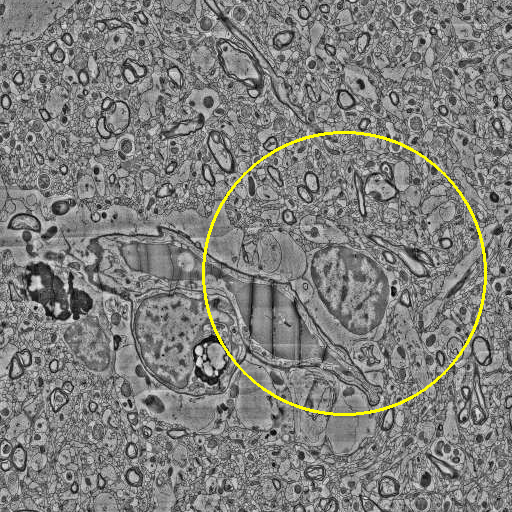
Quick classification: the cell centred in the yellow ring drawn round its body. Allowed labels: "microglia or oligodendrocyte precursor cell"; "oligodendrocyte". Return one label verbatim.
microglia or oligodendrocyte precursor cell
